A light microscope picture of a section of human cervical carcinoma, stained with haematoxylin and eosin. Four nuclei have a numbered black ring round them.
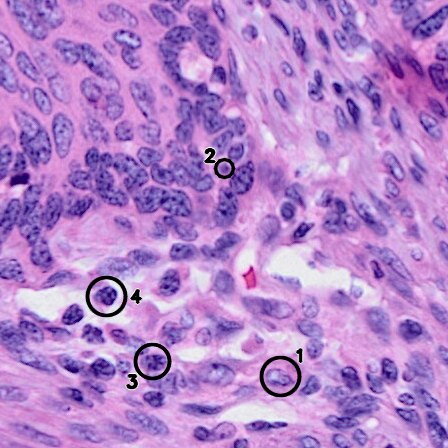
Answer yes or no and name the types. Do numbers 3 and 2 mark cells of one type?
No, while cell 3 is a lymphocyte, cell 2 is a squamous carcinoma cell.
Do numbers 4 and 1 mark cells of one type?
No, that's off: cell 4 is a lymphocyte and cell 1 is an endothelial cell.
